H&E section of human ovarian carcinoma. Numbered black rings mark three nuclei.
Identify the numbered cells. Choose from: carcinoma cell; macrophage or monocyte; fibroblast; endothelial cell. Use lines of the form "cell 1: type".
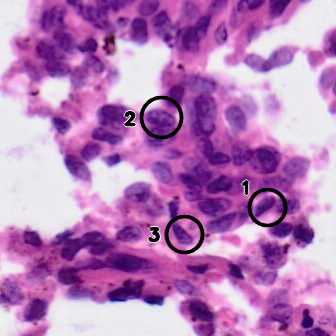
cell 1: carcinoma cell
cell 2: carcinoma cell
cell 3: macrophage or monocyte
